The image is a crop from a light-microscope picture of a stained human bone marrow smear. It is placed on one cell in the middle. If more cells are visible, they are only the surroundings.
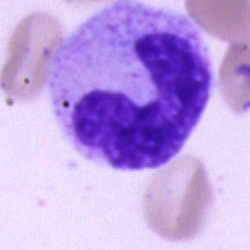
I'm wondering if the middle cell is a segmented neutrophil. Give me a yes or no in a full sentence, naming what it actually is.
No, the centre of the crop is taken up by a band neutrophil, not a segmented neutrophil.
